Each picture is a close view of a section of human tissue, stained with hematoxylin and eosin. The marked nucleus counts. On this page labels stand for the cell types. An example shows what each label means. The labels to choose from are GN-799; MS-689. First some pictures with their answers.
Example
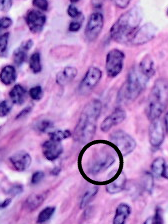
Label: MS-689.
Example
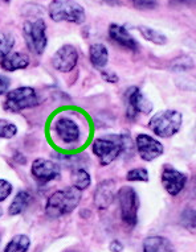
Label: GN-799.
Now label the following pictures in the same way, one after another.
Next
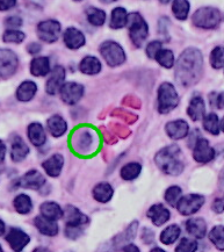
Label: MS-689.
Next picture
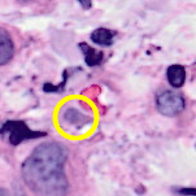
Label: MS-689.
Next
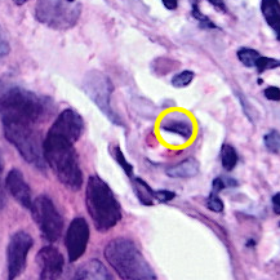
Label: MS-689.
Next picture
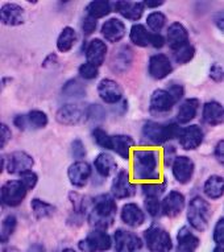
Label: GN-799.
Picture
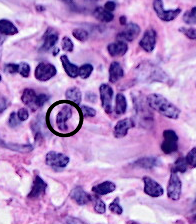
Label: GN-799.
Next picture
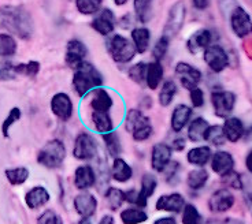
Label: GN-799.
